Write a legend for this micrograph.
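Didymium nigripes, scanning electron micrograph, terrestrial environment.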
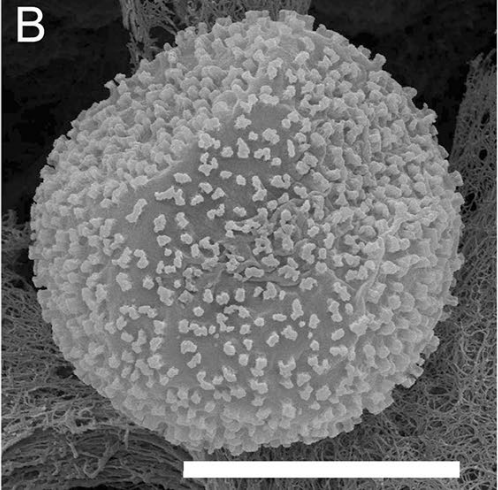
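A single spore is seen whole, a nearly spherical body filling most of the field. Its surface is densely set with small, irregular raised warts, some of them joined in short clusters, with smoother wall visible between them. The spore rests on a fine, tangled fibrous meshwork that shows around its edges against the dark background.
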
